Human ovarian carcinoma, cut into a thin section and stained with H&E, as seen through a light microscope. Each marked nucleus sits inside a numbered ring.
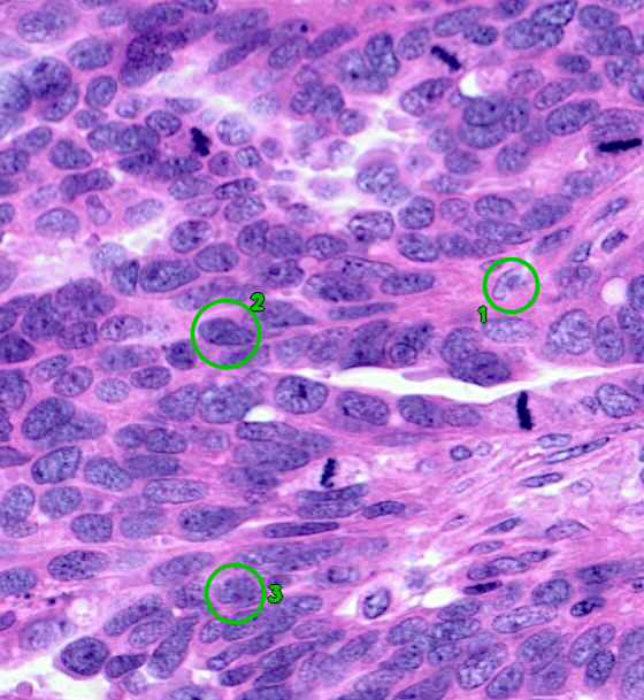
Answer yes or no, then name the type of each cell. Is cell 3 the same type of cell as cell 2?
Yes, both are carcinoma cells.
